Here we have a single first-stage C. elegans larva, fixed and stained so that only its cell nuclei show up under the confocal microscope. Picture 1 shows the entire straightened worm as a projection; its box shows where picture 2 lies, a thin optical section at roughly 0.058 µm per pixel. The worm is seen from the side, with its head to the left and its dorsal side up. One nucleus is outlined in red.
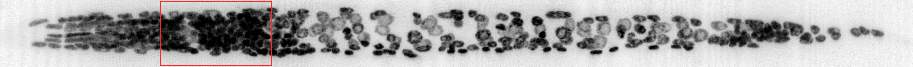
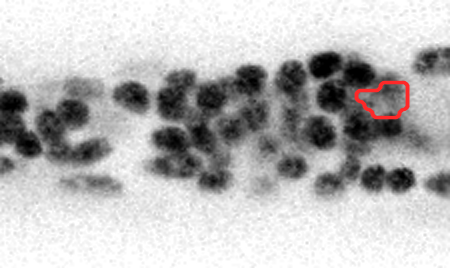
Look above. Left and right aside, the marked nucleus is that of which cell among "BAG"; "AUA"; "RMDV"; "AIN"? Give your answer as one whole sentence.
The marked nucleus is that of AIN, a neuron.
